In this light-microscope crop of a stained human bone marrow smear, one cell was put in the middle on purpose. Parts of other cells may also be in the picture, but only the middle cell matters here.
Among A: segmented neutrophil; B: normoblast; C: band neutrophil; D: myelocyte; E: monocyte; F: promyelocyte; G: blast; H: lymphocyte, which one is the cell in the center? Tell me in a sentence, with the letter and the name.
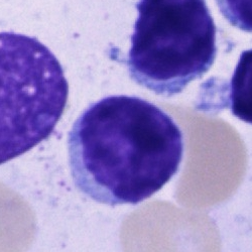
The central cell, a lymphocyte, is correctly identified by option H.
